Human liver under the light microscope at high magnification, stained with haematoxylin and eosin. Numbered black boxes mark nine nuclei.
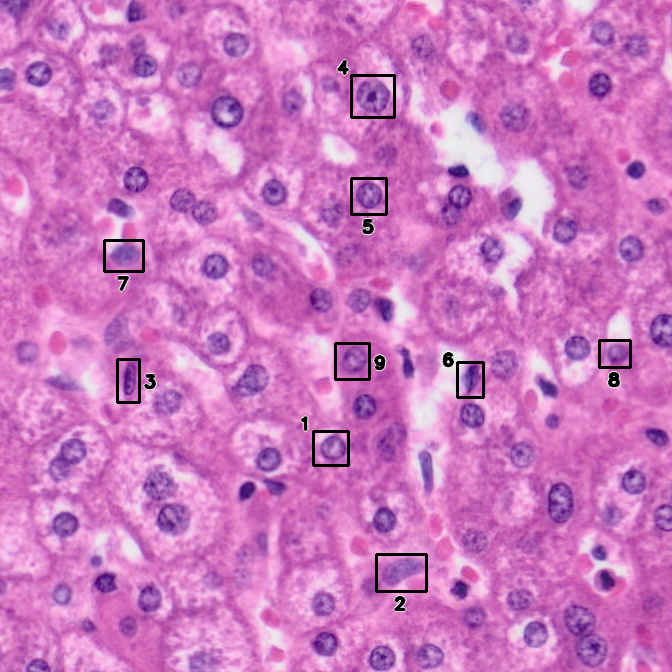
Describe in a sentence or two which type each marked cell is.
Cells 1, 4, 5 and 9 are hepatocytes. Cells 2 and 8 are Kupffer cells. Cell 3 is a fibroblast or stellate cell. Cells 6 and 7 are endothelial cells.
